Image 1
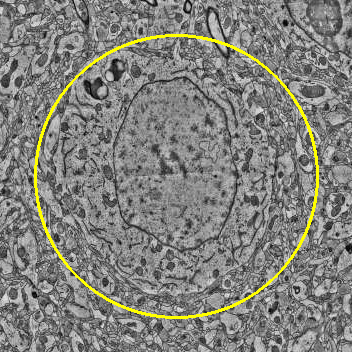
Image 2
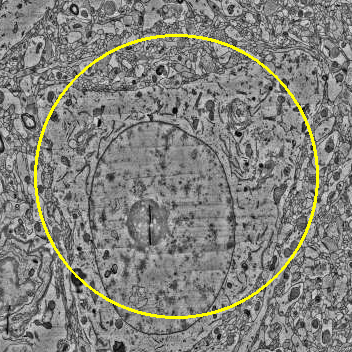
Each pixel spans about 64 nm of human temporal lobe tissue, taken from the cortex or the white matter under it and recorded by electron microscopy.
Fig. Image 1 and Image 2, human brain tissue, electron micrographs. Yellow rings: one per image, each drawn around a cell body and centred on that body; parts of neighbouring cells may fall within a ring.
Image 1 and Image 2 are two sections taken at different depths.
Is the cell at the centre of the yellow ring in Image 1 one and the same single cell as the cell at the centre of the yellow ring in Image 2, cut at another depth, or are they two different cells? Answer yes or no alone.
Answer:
no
